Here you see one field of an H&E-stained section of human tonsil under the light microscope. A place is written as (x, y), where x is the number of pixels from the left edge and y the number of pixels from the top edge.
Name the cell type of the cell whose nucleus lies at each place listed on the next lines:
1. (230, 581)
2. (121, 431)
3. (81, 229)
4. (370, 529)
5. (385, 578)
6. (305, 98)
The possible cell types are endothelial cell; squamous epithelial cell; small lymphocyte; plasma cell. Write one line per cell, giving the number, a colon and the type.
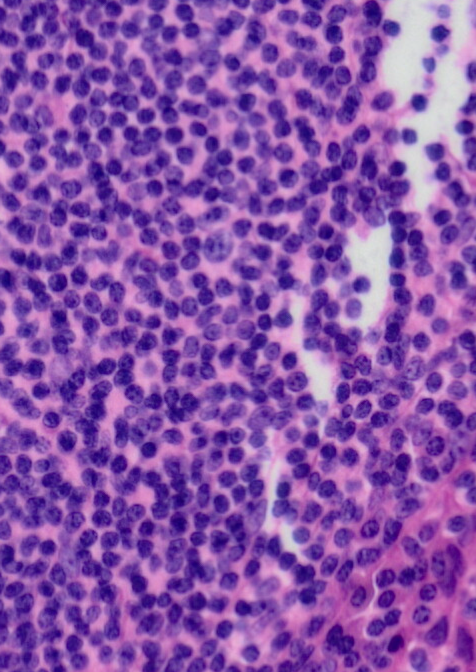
1: small lymphocyte
2: small lymphocyte
3: small lymphocyte
4: plasma cell
5: plasma cell
6: small lymphocyte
